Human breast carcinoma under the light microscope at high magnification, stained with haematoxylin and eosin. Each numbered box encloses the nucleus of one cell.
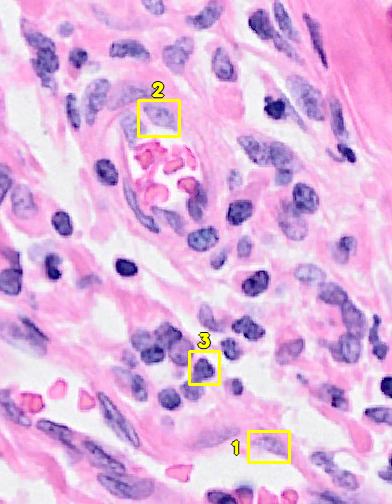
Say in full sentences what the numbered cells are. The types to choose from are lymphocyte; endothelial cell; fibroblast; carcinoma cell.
Cells 1 and 2 are endothelial cells. Cell 3 is a lymphocyte.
